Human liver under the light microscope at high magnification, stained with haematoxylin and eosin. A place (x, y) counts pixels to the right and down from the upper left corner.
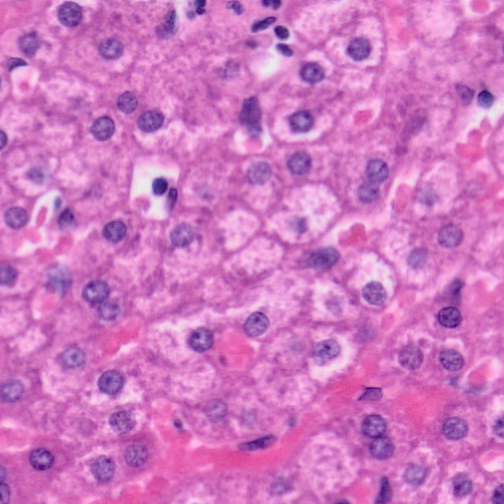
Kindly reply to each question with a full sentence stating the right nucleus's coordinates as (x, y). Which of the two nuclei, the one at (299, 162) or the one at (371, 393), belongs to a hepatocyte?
The nucleus positioned at (299, 162) forms part of a hepatocyte.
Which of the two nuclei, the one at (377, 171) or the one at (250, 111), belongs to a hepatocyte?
Of the two nuclei, the nucleus belonging to a hepatocyte is located at (377, 171).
